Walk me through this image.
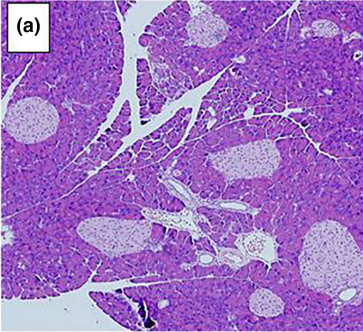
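Low-magnification section of pancreas. Several pancreatic islets of varied size lie scattered within the exocrine parenchyma. They are rounded to oval, pale pink, sharply bounded areas of loosely arranged endocrine cells with small, evenly spaced nuclei. Around them, the densely packed acinar tissue stains deep purple to violet. The parenchyma is divided into lobules by thin, clear, unstained clefts and strands of interlobular connective tissue. Small ducts and blood vessels run within these septa, especially toward the centre of the field. The islets sit within the lobules, embedded directly among the acini.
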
